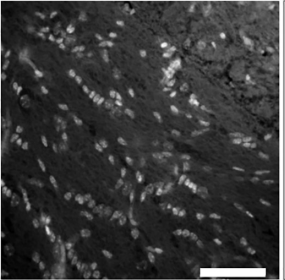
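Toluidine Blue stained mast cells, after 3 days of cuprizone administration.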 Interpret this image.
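This is a field of white matter with a streaked, fibrous texture whose fibres run diagonally across the image. Numerous small bright oval cells lie among the fibres, many elongated and aligned in rows along the fibre direction. In places the cells crowd into dense clusters, with little dark tissue between them.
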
